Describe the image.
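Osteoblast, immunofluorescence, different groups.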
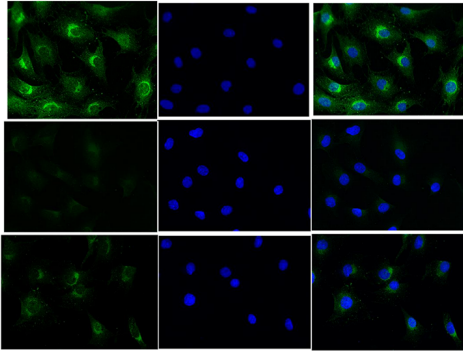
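The cells are flat and spread out, polygonal to spindle-shaped, and lie apart from one another with several cytoplasmic extensions. Each cell has a single oval blue nucleus, roughly central. In the top row the green label fills the cytoplasm and is densest in a ring around the nucleus, so cell outlines are clearly seen. In the middle row the green is nearly absent and only blue nuclei stand out. In the bottom row the green is faint to moderate, mostly close to the nucleus in some cells.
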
